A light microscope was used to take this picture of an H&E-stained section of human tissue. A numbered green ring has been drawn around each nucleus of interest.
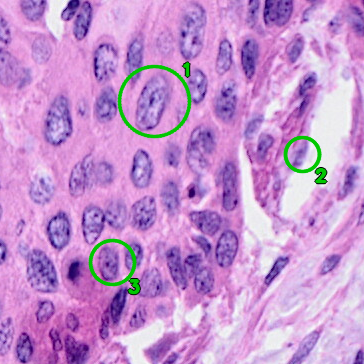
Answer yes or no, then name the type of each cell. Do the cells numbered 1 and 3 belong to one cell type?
Yes, the two numbered cells 1 and 3 are both squamous carcinoma cells.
